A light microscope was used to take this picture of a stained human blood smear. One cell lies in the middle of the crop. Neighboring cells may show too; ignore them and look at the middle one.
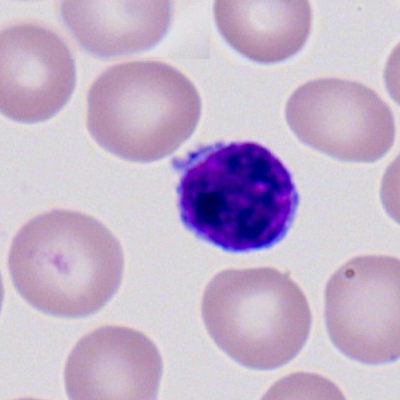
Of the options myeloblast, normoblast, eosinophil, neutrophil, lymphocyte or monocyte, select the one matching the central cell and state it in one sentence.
Located at the centre of the crop is a lymphocyte.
